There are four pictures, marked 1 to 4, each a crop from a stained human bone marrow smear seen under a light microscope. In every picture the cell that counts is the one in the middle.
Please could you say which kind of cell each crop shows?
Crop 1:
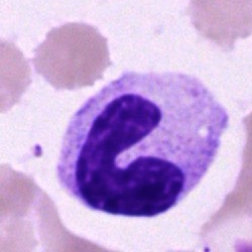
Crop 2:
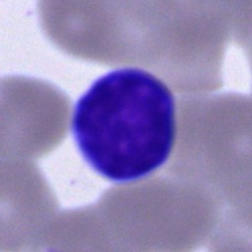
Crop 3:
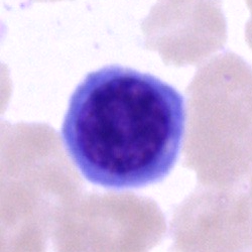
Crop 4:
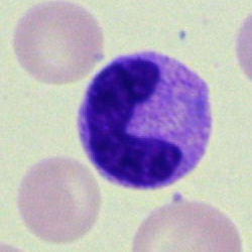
1: band neutrophil
2: lymphocyte
3: erythroblast
4: band neutrophil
